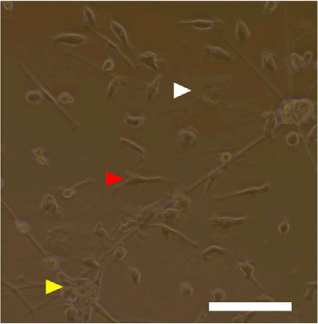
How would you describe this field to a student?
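Mixed culture of small phase-bright cells, some rounded and some elongated with one or two thin processes, spread sparsely over the dish. Fine thread-like processes cross the background and a small cluster of rounded cell bodies lies at the lower left.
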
